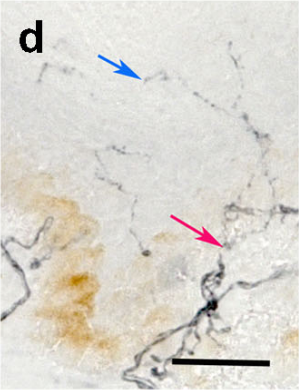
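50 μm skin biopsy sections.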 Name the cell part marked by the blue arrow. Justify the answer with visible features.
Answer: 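Terminal part. The blue arrow points to a thin fibre high in the epithelium, far from the fibre bundles below.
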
